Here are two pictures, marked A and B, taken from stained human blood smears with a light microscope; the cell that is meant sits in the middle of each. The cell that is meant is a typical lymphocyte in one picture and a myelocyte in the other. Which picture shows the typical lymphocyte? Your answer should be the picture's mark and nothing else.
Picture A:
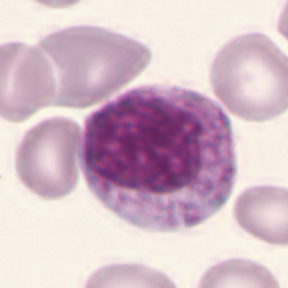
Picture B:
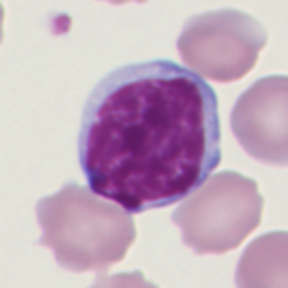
B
